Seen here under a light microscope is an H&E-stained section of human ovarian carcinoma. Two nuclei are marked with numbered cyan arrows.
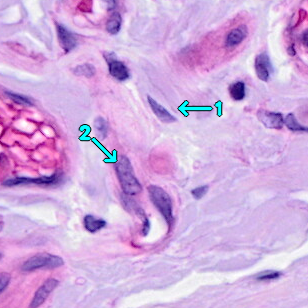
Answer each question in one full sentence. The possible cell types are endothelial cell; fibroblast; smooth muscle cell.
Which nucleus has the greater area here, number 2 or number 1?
Number 2 is larger; its area is about 2 times that of number 1.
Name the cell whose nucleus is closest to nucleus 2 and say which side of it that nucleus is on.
The closest nucleus belongs to an endothelial cell and sits below nucleus 2.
